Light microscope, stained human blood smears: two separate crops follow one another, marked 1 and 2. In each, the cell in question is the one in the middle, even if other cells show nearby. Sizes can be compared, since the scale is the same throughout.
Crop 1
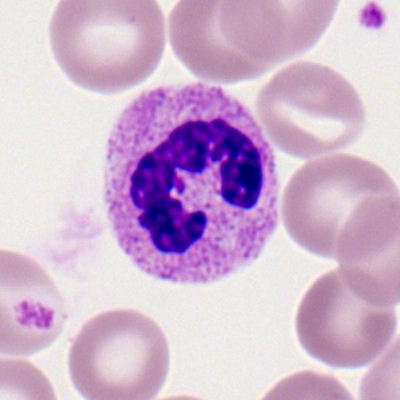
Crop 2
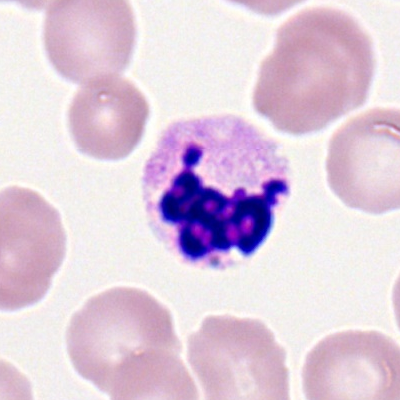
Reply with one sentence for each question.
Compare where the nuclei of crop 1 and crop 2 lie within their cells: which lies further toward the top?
In crop 1 the nucleus is shifted more toward the top.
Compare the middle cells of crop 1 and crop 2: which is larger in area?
The cell in crop 1 is larger, with about 1.5 times the area of the one in crop 2.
